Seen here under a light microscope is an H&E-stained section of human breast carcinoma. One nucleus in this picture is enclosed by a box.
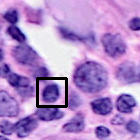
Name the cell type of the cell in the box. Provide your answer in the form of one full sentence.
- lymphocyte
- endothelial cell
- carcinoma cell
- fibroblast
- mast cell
In the stained section, the cell in the box is a lymphocyte.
